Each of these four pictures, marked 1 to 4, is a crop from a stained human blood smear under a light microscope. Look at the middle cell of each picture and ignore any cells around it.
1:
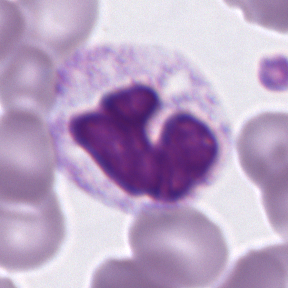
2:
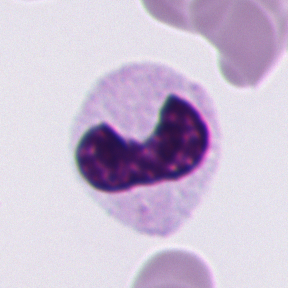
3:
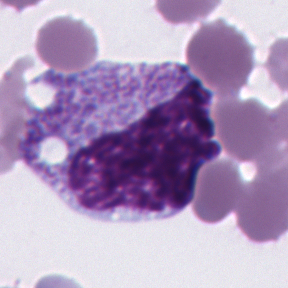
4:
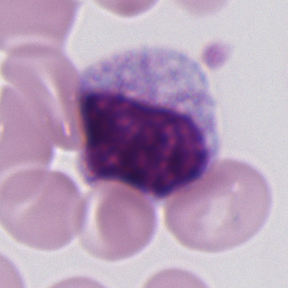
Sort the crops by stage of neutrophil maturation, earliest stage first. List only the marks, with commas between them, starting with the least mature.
3, 4, 2, 1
